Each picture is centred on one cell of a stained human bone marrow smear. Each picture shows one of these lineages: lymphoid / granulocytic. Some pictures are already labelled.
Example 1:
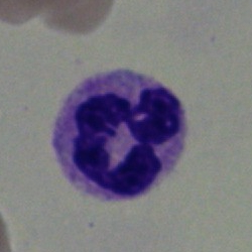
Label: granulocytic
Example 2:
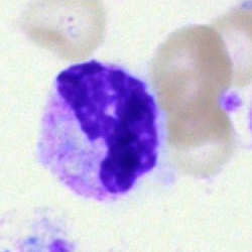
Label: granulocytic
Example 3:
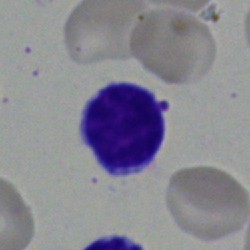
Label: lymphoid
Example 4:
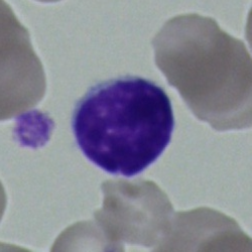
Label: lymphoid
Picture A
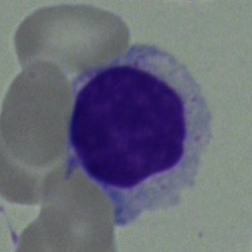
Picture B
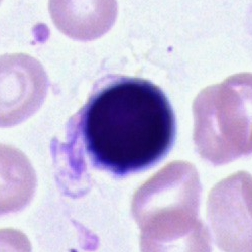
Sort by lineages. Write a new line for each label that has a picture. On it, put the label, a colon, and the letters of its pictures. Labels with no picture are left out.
lymphoid: A, B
